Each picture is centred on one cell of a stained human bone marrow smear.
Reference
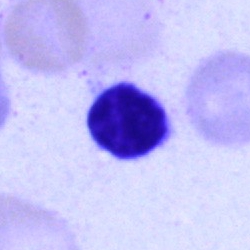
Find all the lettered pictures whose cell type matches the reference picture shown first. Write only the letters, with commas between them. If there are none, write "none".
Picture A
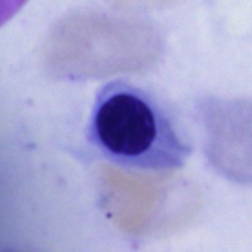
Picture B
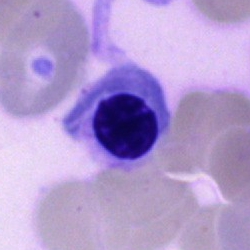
none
